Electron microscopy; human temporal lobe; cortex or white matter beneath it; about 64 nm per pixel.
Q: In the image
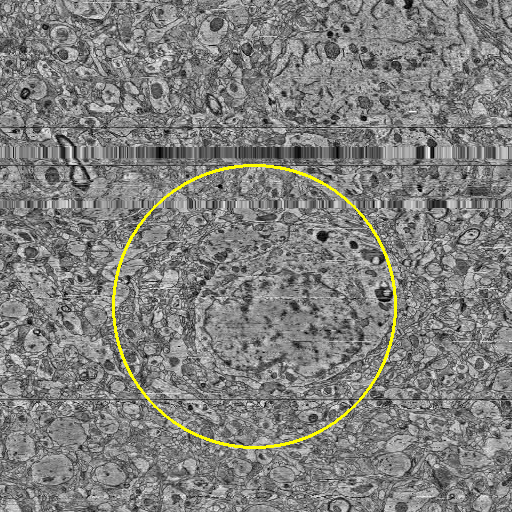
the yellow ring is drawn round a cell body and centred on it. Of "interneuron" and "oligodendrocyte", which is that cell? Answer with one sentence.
The cell centred in the ring is an interneuron.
